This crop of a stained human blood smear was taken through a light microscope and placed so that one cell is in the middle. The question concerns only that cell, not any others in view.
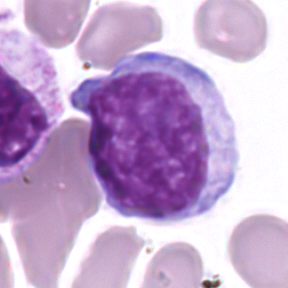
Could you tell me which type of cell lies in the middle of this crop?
plasma cell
